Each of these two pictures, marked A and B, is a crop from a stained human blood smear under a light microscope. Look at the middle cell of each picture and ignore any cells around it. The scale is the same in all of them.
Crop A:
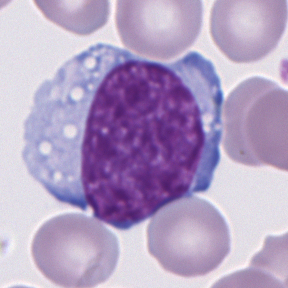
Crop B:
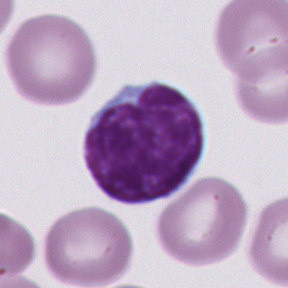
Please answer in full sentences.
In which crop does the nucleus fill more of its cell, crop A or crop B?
The nucleus fills more of the cell in crop B than in crop A.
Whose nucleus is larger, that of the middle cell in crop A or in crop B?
The nucleus in crop A is larger, with about 1.5 times the area of the one in crop B.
